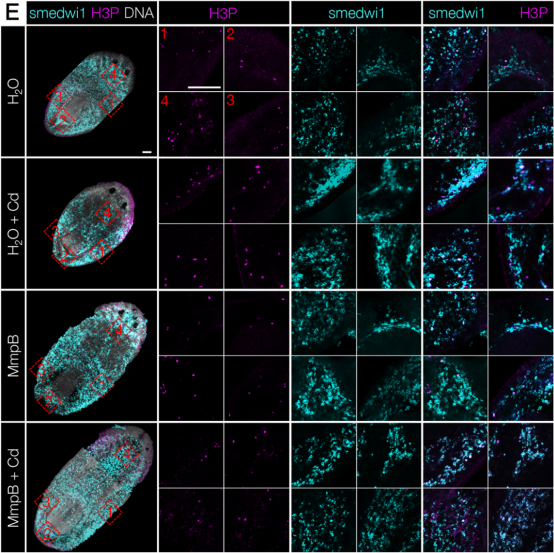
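Each row shows an oval, flattened whole worm seen from above, filled with many small cyan cells scattered through the body, with a darker central area. Small red frames mark regions at the head, the sides and the back of the animal. Enlargements of these regions show dense clusters of small round cyan cells, with fewer, scattered magenta dots among them. The cyan cells are spread throughout the body, while the magenta cells are sparse and dotted among them.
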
